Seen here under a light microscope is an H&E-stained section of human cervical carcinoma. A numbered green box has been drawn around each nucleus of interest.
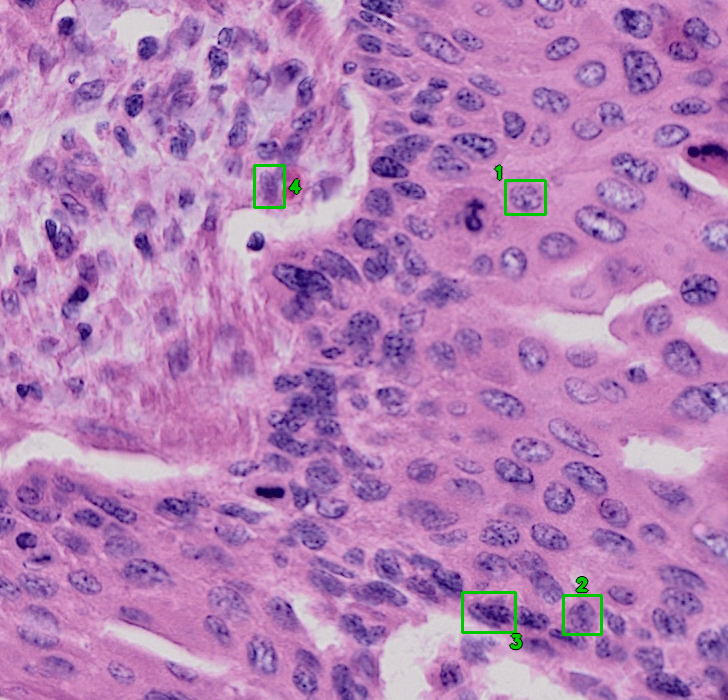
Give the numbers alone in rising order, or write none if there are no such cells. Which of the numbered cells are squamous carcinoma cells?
1, 2, 3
